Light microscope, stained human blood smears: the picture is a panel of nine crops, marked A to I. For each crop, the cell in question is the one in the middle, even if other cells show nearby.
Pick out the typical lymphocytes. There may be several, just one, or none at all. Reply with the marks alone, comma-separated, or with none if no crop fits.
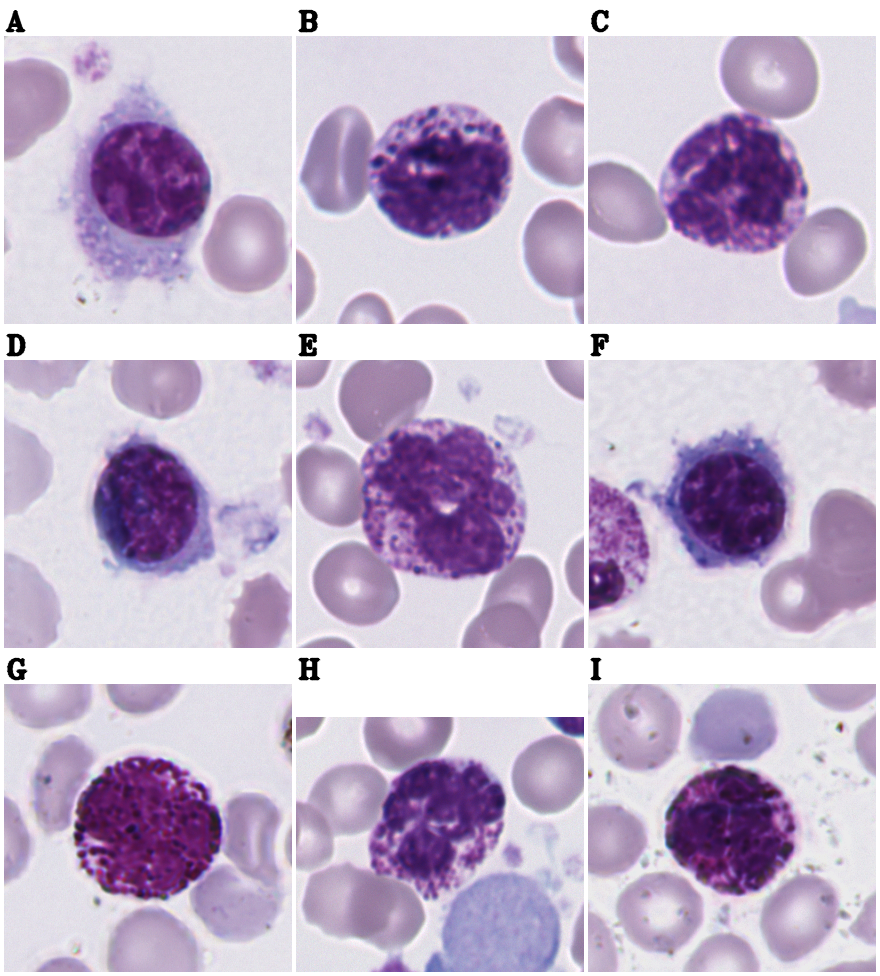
none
